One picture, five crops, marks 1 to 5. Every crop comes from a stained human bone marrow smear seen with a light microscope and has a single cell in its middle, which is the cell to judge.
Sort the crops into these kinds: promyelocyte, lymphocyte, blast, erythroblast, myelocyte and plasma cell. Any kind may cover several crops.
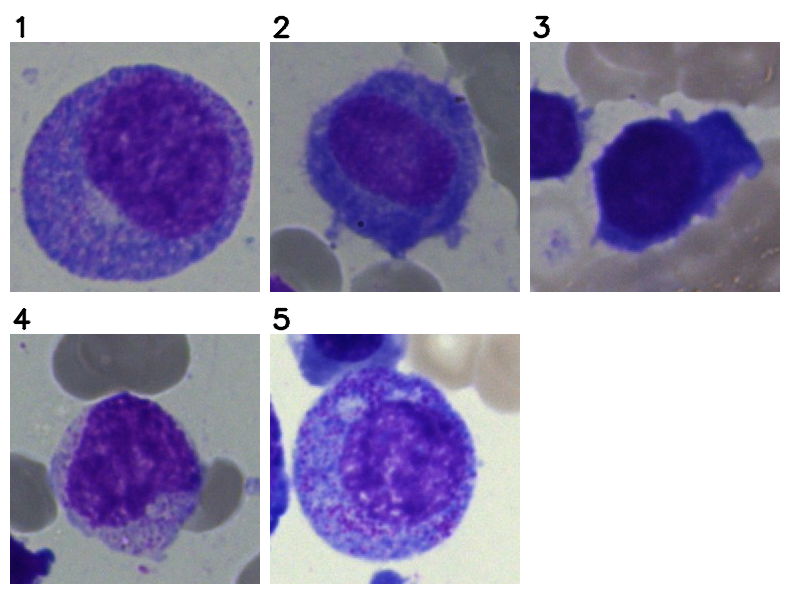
1: promyelocyte
2: plasma cell
3: plasma cell
4: myelocyte
5: myelocyte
